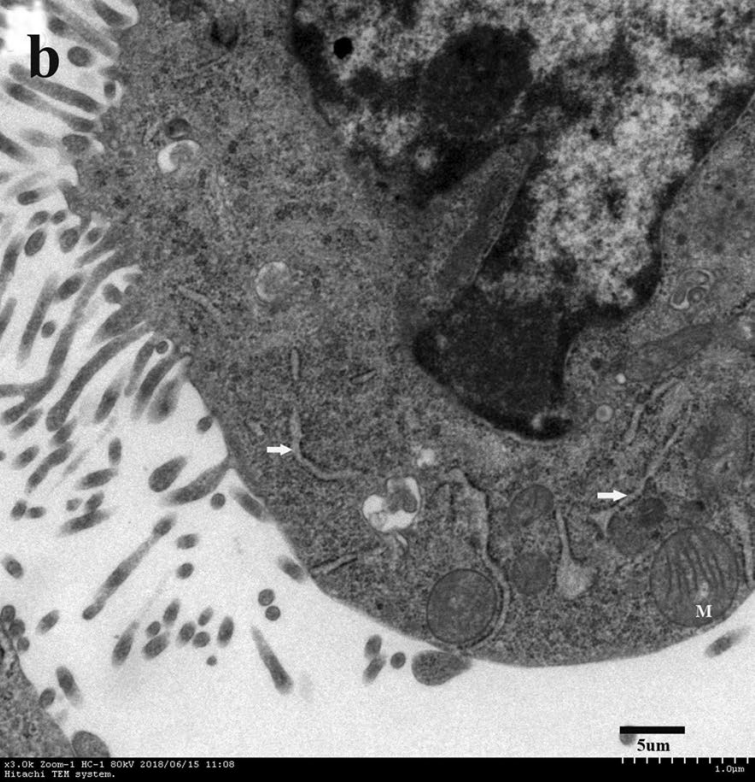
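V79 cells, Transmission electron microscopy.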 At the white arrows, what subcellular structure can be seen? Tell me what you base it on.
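The arrows point to thin, elongated membrane-lined tubules in the cytoplasm. The tubules lie among mitochondria near the cell surface. So: endoplasmic reticulum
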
